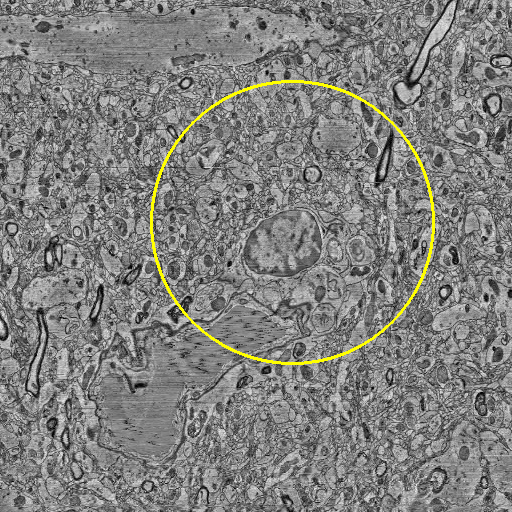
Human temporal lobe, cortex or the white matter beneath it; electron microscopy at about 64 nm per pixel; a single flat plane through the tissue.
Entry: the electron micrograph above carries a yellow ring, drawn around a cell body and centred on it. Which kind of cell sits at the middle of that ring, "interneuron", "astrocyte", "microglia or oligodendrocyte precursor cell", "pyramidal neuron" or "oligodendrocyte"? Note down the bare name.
microglia or oligodendrocyte precursor cell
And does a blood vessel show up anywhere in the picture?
Yes, there is a blood vessel in the image.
